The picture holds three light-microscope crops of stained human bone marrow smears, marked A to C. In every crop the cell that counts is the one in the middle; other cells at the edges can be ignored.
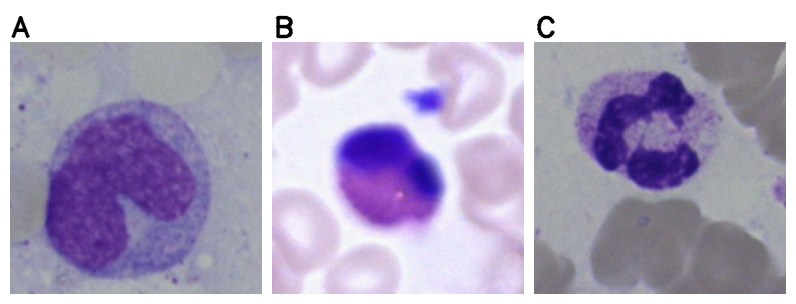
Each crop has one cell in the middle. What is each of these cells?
A: monocyte
B: eosinophil
C: segmented neutrophil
